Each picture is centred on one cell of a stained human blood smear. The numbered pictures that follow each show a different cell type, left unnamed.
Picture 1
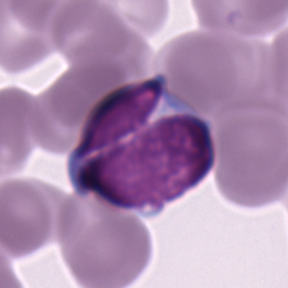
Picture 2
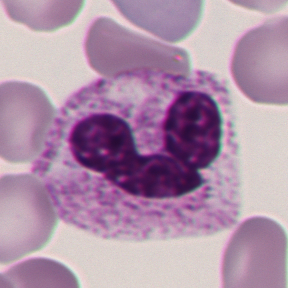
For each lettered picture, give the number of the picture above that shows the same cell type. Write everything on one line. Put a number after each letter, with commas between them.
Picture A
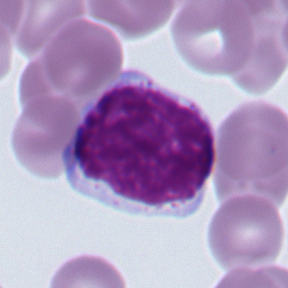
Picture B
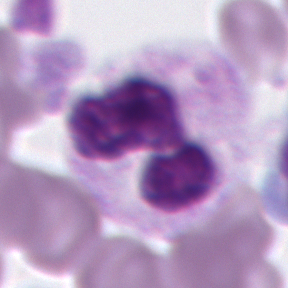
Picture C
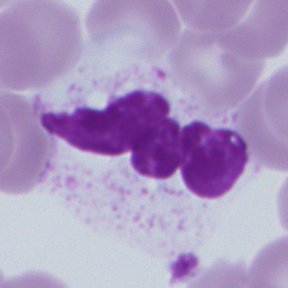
A 1, B 2, C 2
